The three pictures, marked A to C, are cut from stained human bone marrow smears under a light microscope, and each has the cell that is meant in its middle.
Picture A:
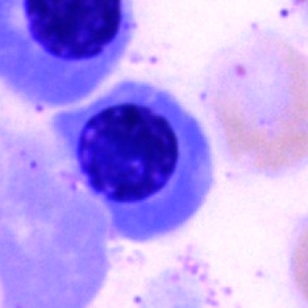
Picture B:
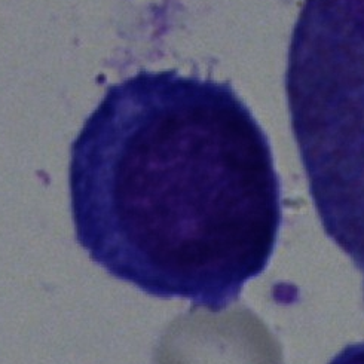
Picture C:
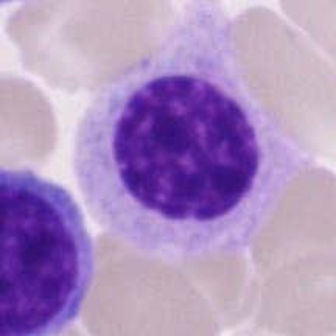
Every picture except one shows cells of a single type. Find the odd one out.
B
